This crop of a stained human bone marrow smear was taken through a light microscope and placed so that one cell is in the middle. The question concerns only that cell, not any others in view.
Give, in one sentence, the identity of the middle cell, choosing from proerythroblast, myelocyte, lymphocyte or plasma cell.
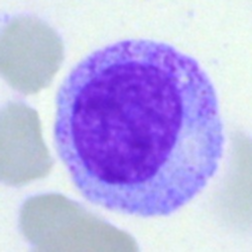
The central cell, amid any neighbouring cells, is a myelocyte.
